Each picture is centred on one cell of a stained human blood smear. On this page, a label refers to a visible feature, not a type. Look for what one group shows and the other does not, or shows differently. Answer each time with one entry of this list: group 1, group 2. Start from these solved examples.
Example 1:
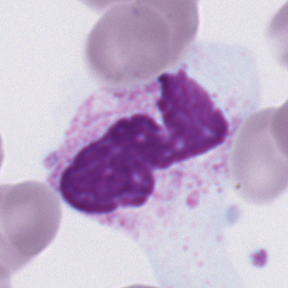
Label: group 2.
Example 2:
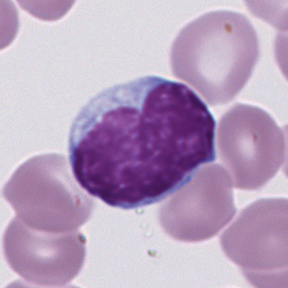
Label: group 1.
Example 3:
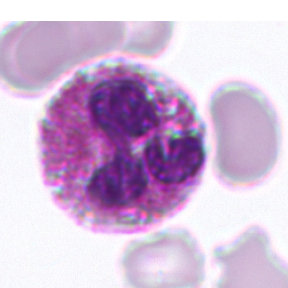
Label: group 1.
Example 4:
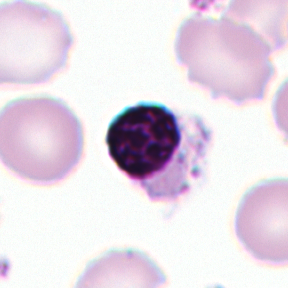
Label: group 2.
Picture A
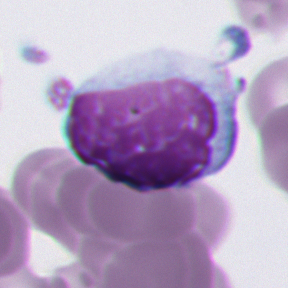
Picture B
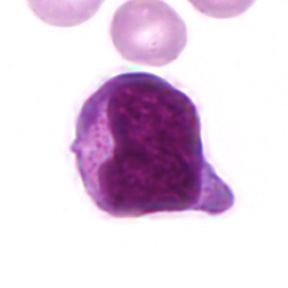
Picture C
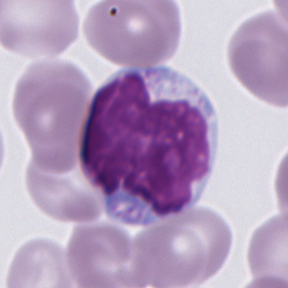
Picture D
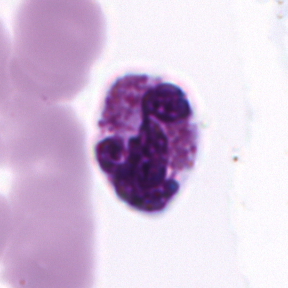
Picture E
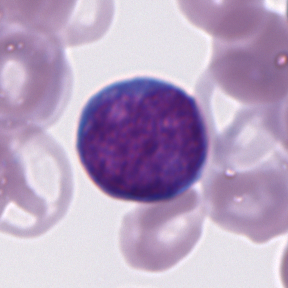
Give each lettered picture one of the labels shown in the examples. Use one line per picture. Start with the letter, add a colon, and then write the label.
A: group 2.
B: group 2.
C: group 1.
D: group 1.
E: group 1.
